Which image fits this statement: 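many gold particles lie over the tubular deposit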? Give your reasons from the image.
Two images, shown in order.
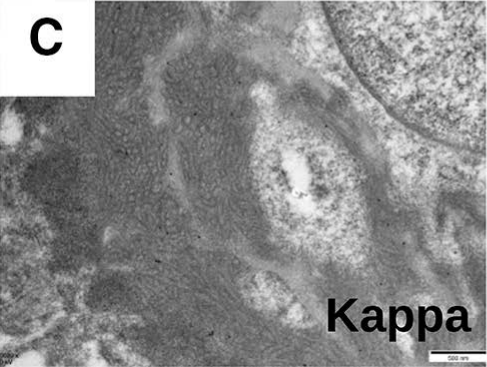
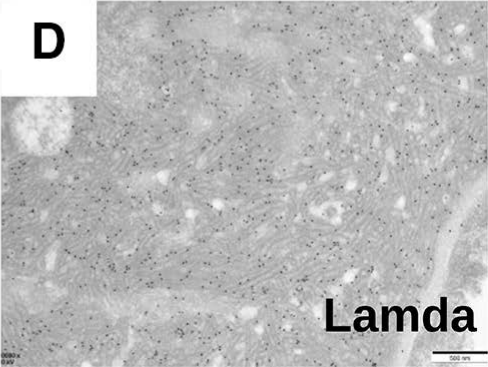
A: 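The second image. Second image: numerous small black dots are scattered evenly over the tubular material. First image: black dots over the tubular material are scarce or hard to find.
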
